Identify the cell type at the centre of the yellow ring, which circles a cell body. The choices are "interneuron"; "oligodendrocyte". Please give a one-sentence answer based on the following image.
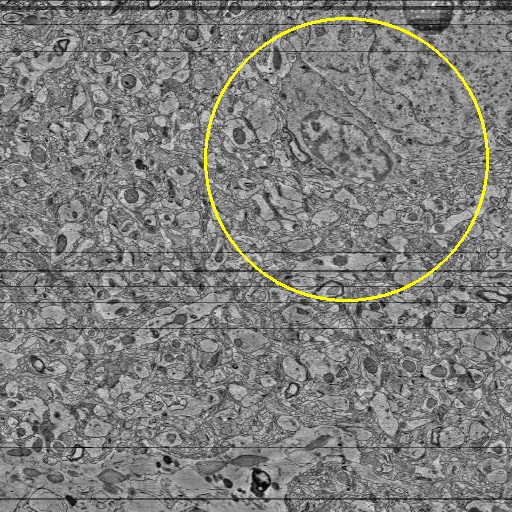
The cell marked by the ring is an oligodendrocyte.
